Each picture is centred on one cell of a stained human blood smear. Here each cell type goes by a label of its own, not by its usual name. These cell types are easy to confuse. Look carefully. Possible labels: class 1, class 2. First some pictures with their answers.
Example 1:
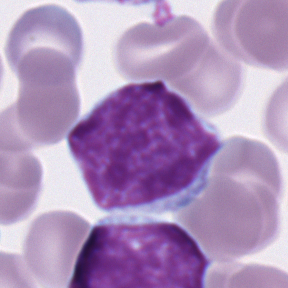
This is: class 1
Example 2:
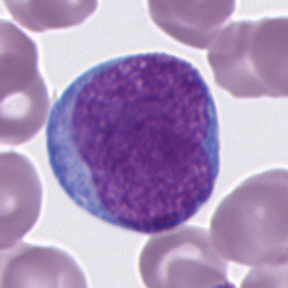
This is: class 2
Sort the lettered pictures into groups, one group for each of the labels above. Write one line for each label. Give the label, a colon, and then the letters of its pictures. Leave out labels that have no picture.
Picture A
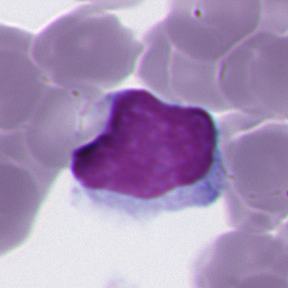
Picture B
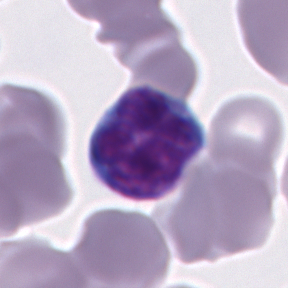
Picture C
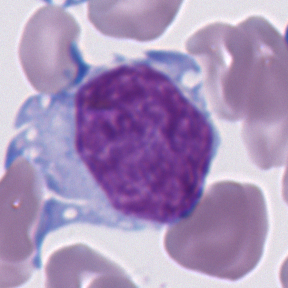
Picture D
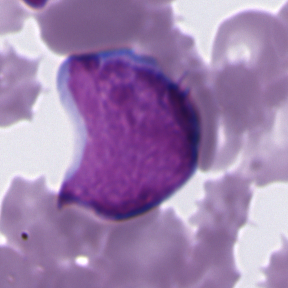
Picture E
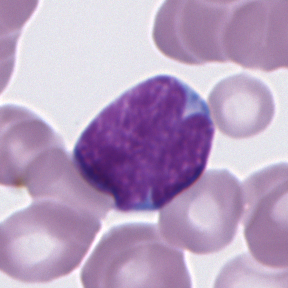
class 1: A, B
class 2: C, D, E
